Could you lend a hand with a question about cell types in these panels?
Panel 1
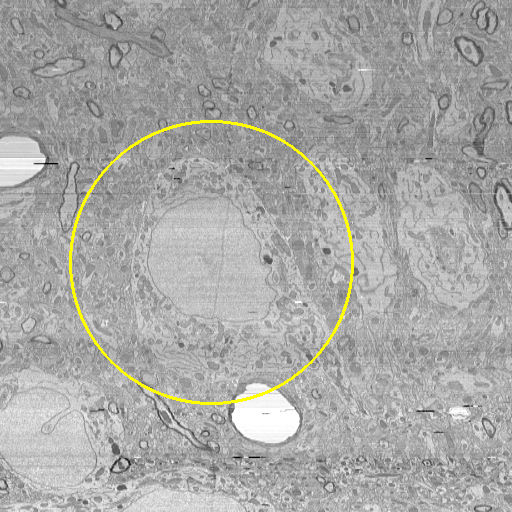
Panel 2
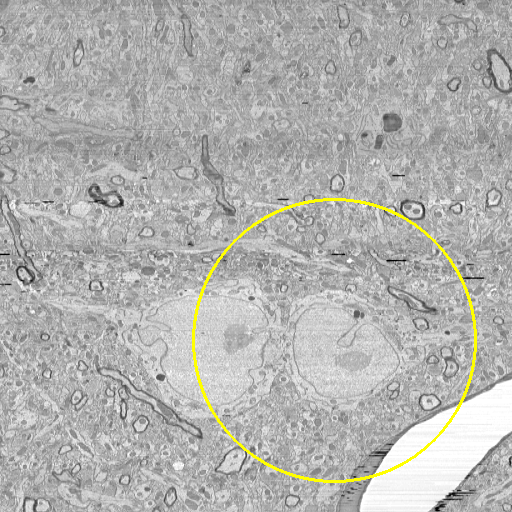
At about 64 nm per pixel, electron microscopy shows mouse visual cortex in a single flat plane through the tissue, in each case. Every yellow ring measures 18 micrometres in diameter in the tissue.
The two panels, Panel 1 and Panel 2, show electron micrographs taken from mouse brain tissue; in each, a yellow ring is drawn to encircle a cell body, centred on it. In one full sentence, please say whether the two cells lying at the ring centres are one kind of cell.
Yes, the cells at the ring centres in the two panels are one kind of cell.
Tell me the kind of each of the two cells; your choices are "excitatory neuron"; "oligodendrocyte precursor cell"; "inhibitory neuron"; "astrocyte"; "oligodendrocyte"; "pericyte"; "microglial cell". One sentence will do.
The cell at the ring centre is an inhibitory neuron in both pictures.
